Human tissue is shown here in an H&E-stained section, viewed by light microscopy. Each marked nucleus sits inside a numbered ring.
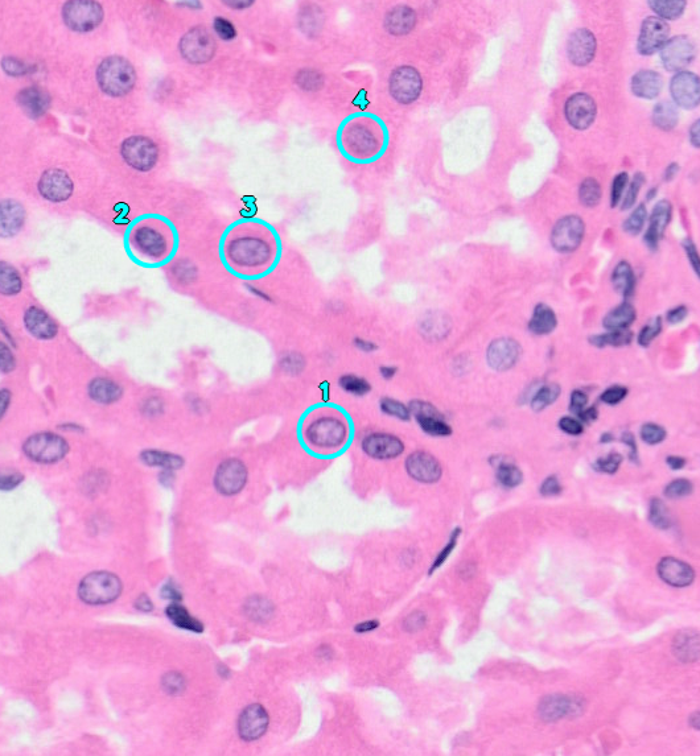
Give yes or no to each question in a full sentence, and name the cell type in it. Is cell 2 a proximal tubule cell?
No, in terms of cell type, cell 2 is a loop of Henle or distal tubule cell, not a proximal tubule cell.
